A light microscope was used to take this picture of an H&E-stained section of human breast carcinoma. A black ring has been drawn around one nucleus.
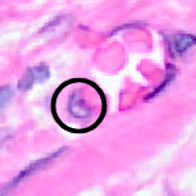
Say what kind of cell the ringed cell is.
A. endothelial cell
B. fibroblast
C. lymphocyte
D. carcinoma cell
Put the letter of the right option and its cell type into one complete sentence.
The statement that the ringed cell is an endothelial cell corresponds to option A, the correct one.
